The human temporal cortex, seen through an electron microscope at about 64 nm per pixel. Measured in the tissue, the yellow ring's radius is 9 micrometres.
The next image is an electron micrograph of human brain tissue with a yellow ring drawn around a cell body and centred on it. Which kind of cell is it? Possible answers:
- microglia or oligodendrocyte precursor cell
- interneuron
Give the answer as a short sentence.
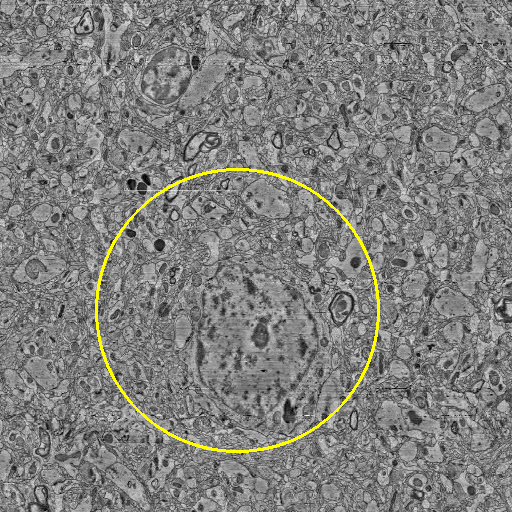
In the ring's centre is an interneuron.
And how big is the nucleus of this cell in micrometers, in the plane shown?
The nucleus works out at approximately 10 by 8 micrometres in this plane.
